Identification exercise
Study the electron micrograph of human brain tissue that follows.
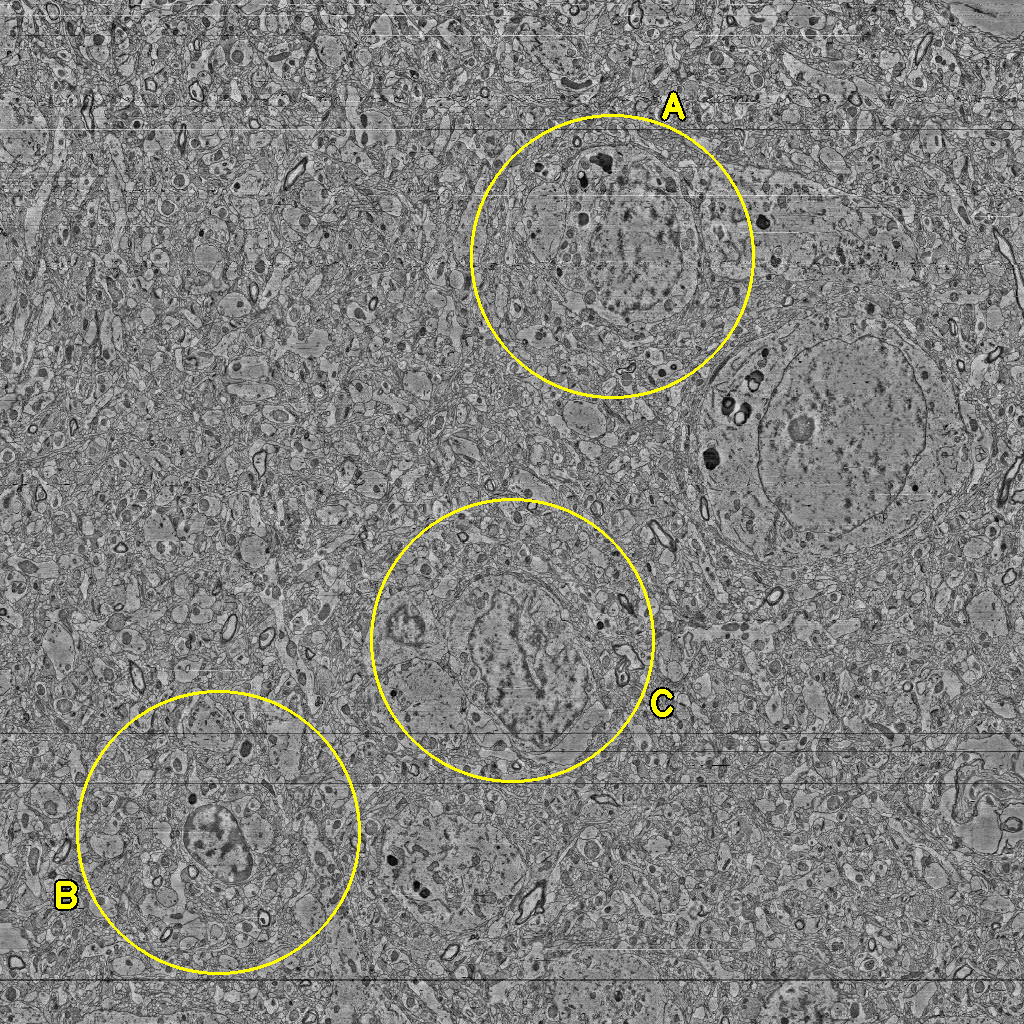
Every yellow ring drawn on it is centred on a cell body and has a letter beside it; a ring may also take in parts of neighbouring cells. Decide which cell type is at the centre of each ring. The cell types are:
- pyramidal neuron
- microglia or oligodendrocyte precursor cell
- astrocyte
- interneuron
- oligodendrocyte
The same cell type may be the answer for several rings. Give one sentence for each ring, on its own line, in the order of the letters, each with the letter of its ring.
Ring A encircles an interneuron.
Ring B encircles a microglial cell or oligodendrocyte precursor cell.
Ring C encircles an interneuron.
